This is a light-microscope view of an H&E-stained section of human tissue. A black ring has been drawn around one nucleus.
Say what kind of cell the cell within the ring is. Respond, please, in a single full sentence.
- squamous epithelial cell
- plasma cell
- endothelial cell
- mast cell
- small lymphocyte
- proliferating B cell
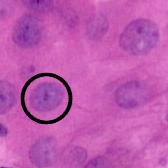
Considered by cell type, the cell within the ring is a squamous epithelial cell.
